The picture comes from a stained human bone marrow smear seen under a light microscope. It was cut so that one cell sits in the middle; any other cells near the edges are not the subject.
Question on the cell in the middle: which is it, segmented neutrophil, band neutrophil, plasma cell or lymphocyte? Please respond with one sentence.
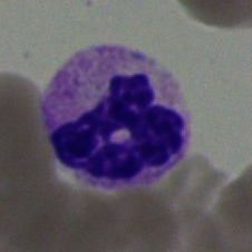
The centered cell in this crop is a segmented neutrophil.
